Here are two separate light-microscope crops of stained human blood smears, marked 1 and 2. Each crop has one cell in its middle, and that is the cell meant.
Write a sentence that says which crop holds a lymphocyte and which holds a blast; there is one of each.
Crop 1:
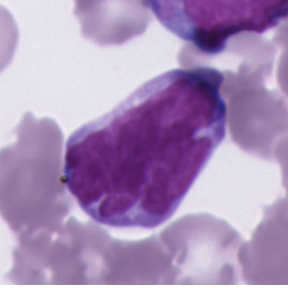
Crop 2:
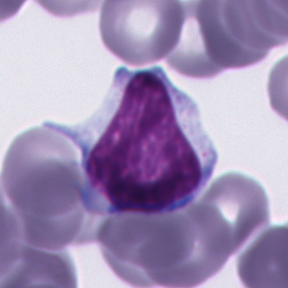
The cell at the centre of crop 1 is a blast, and at the centre of crop 2, a lymphocyte.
